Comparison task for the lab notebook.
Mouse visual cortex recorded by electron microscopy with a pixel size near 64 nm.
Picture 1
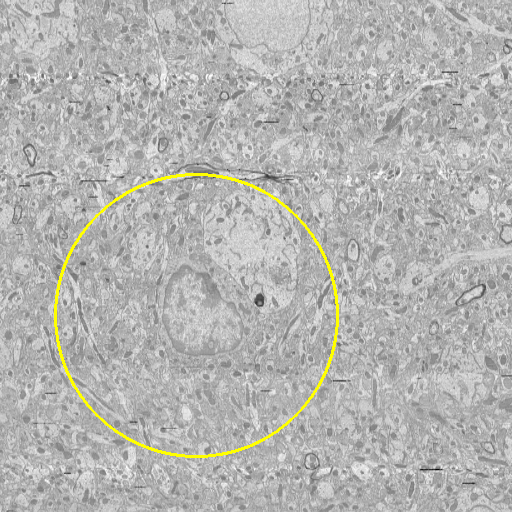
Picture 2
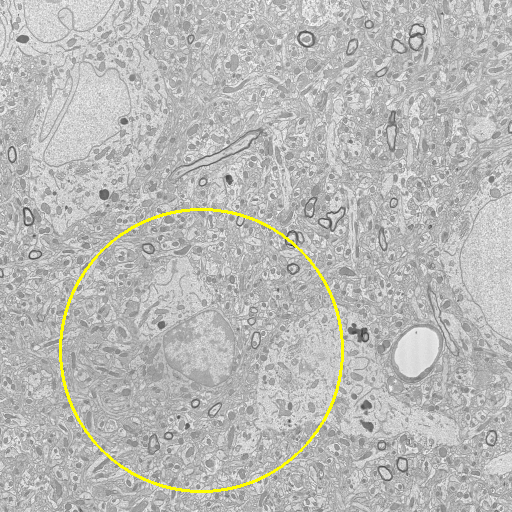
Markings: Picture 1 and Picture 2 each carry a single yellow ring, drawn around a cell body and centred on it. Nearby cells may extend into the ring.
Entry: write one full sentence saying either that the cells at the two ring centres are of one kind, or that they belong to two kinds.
The cells sitting at the ring centres in Picture 1 and Picture 2 are of one kind.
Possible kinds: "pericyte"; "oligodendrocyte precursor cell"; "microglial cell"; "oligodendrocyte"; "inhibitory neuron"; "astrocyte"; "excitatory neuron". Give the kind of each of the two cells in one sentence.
Both rings mark an oligodendrocyte, one in each picture.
